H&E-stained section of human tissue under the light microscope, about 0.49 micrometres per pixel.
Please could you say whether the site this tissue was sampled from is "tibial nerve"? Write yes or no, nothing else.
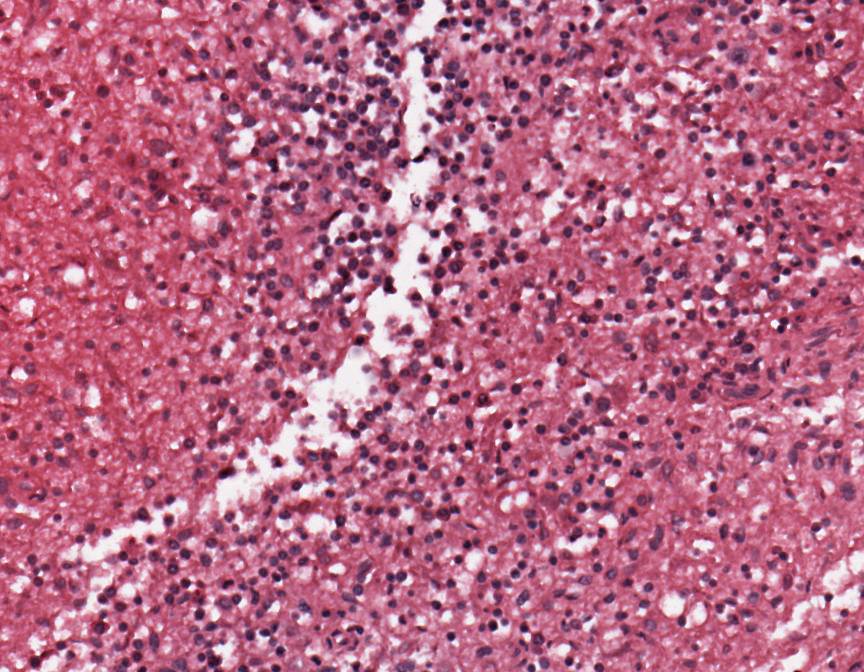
no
